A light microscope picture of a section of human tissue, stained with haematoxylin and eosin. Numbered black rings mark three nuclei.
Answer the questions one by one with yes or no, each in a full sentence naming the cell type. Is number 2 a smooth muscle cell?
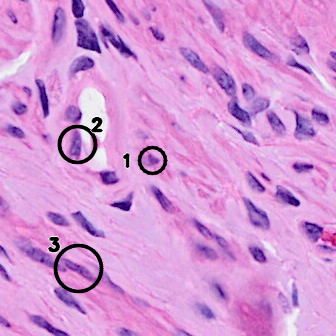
No, a smooth muscle cell is not what cell 2 is; it is an endothelial cell.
